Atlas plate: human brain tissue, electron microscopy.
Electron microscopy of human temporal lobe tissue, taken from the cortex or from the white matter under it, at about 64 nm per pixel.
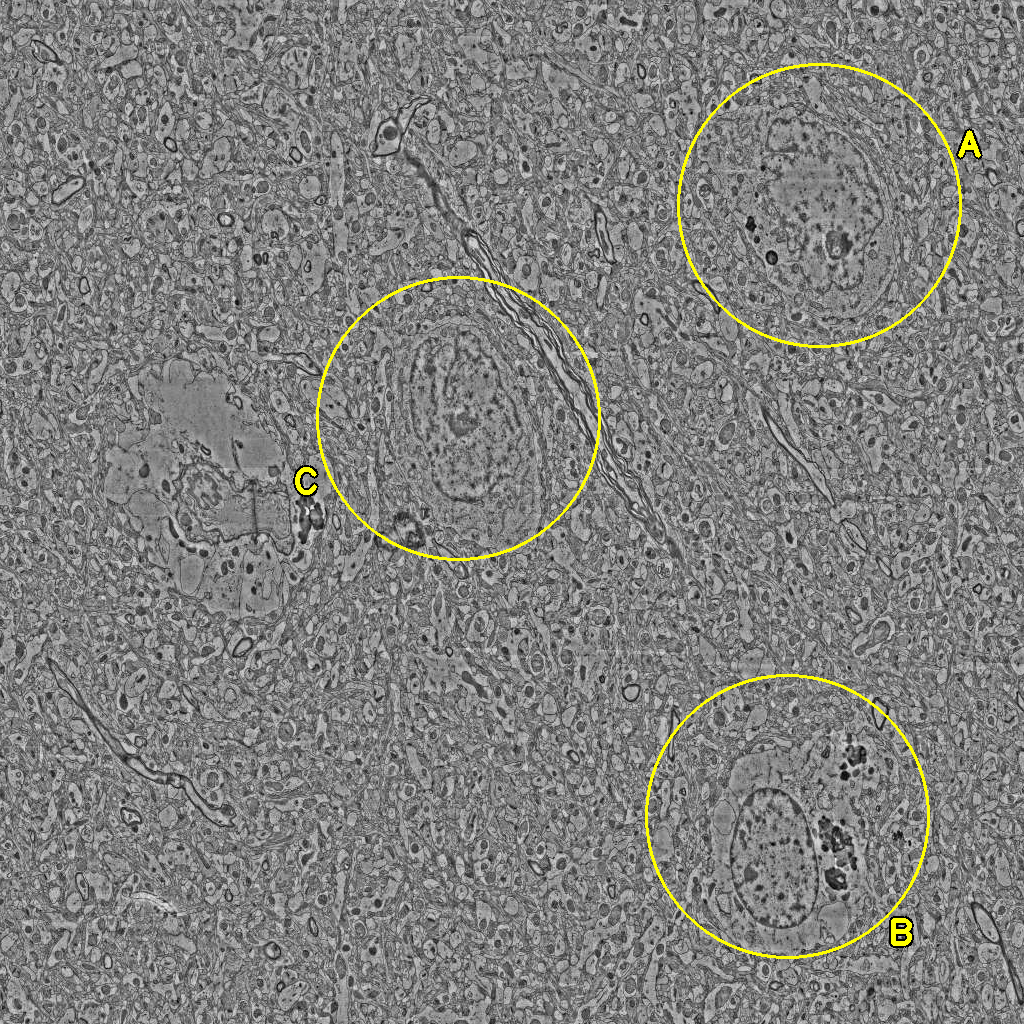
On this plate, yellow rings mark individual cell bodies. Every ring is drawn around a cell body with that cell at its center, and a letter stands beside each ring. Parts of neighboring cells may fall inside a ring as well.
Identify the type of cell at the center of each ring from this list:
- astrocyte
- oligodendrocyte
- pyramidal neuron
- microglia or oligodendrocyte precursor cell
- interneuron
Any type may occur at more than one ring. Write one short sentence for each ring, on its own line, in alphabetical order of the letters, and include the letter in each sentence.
At the center of ring A lies an interneuron.
At the center of ring B lies an astrocyte.
At the center of ring C lies an interneuron.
